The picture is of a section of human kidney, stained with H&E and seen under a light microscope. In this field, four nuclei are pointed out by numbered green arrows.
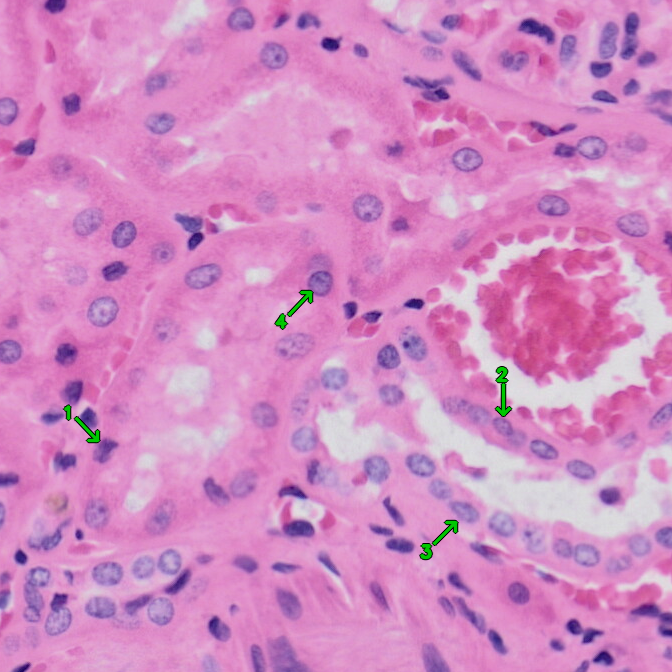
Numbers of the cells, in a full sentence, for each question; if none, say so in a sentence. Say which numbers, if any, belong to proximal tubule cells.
On this slide, the cells numbered 1 and 4 are proximal tubule cells.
